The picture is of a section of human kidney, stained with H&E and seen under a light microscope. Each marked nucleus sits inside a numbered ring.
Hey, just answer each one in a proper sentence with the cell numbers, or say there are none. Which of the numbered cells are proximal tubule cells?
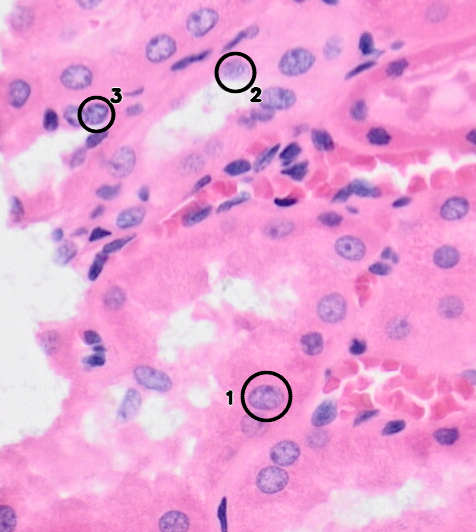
Among the numbered cells, a proximal tubule cell occurs only once, as cell 1.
